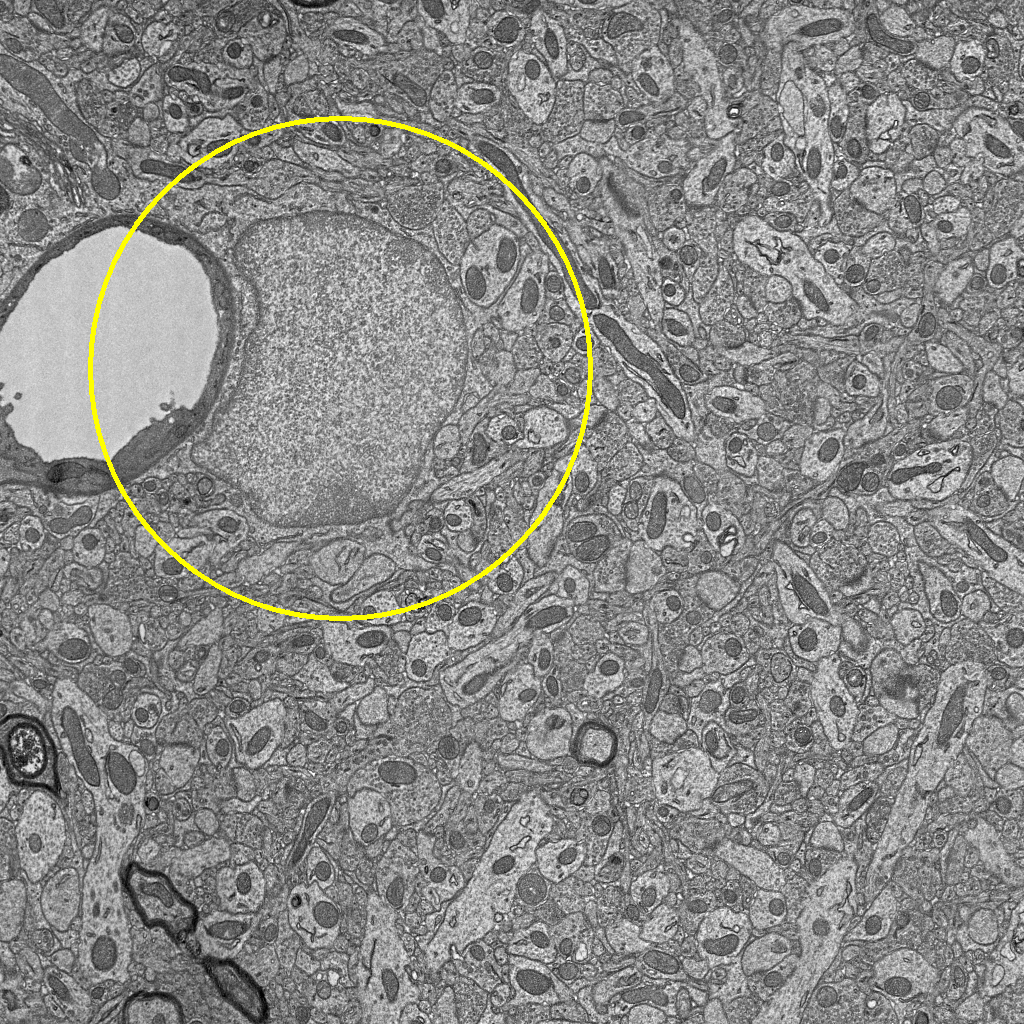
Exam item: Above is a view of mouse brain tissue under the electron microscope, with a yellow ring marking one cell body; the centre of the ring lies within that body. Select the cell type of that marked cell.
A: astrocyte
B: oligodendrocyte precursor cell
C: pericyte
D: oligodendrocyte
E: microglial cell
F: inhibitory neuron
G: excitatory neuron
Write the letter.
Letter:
A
